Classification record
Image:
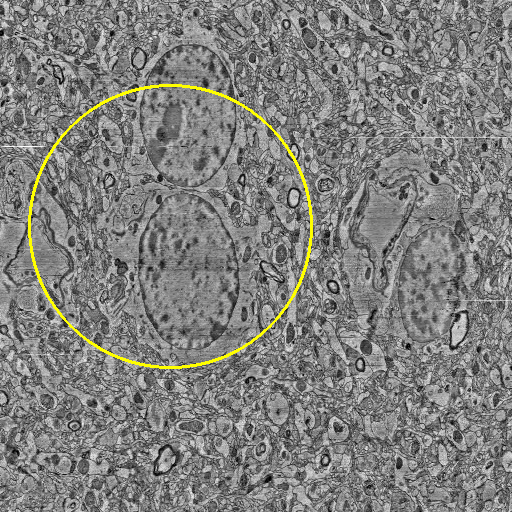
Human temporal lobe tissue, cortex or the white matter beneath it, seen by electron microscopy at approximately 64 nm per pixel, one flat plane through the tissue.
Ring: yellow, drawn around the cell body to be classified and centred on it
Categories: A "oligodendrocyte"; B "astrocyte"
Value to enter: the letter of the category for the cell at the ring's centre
B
